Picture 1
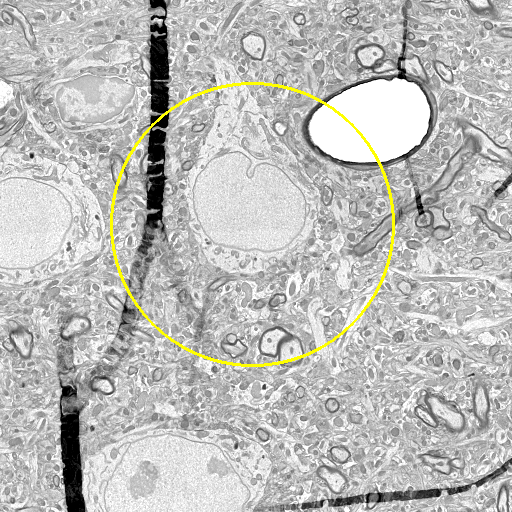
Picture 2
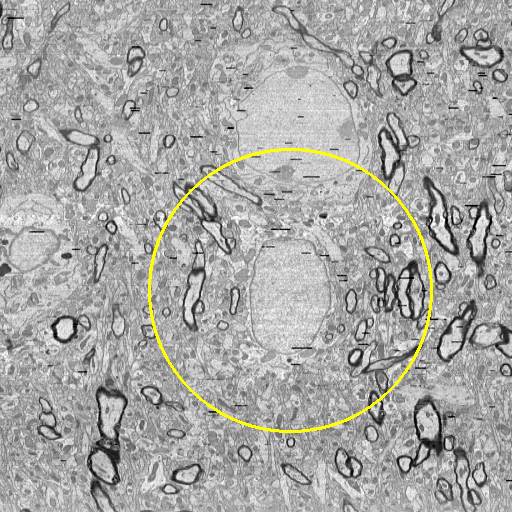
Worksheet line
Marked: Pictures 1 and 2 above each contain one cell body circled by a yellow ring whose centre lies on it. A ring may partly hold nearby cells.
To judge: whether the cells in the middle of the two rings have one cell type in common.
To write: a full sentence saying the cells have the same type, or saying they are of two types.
The cells in the middle of the rings in Picture 1 and Picture 2 are of two types.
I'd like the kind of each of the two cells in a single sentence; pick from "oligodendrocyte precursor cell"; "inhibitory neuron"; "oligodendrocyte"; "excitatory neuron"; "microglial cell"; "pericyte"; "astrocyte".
The first ring marks an excitatory neuron, and the second ring marks an astrocyte.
